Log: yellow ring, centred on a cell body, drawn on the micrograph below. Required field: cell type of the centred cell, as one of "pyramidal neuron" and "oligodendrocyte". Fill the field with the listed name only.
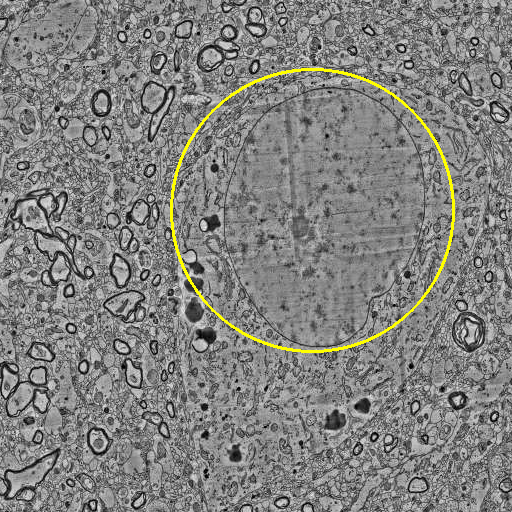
pyramidal neuron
